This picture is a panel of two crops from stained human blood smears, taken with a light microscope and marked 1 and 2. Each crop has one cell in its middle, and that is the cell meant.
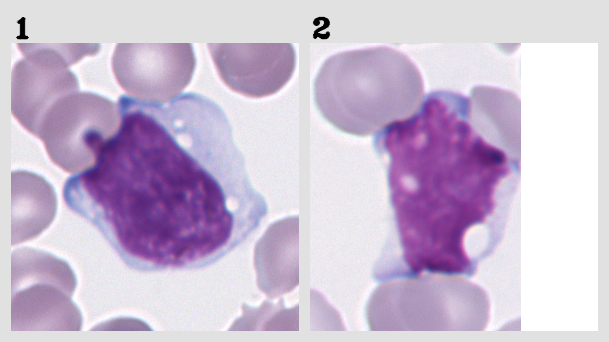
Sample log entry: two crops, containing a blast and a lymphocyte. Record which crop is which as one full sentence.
Taken crop by crop, crop 1 is a blast and crop 2 is a lymphocyte.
